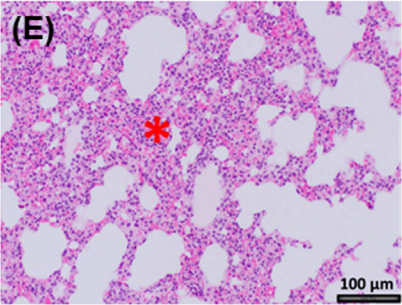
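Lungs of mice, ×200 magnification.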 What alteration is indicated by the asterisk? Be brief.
interstitial widening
